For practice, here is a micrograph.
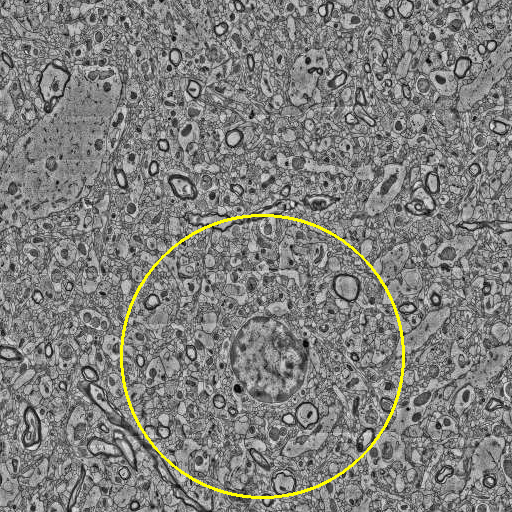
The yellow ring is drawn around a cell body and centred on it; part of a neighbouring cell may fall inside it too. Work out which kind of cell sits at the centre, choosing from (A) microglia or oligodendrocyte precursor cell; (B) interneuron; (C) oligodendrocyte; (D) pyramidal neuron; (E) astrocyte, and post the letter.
A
